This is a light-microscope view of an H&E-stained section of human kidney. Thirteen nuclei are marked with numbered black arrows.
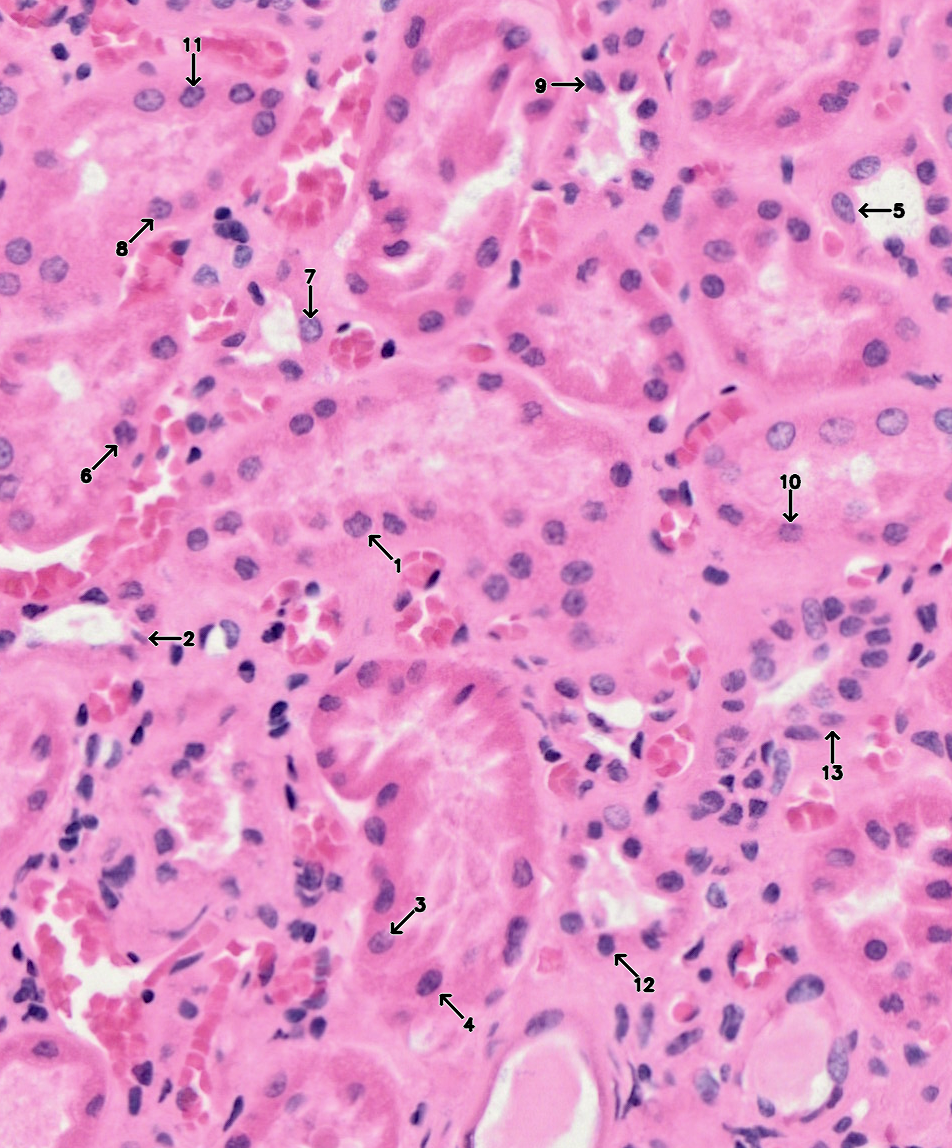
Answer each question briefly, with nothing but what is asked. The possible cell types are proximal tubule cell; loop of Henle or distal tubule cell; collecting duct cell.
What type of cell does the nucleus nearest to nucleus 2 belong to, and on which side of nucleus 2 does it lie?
a loop of Henle or distal tubule cell, below and to the left of nucleus 2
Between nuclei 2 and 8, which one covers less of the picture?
2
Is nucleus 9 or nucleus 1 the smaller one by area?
9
